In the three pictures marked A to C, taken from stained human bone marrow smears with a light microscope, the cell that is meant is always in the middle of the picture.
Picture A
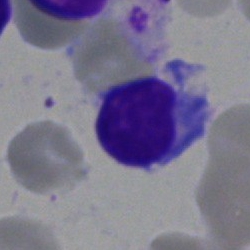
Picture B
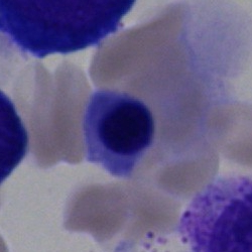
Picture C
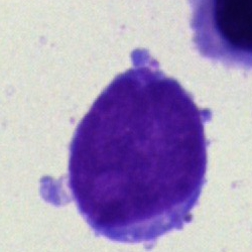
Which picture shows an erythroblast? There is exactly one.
B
